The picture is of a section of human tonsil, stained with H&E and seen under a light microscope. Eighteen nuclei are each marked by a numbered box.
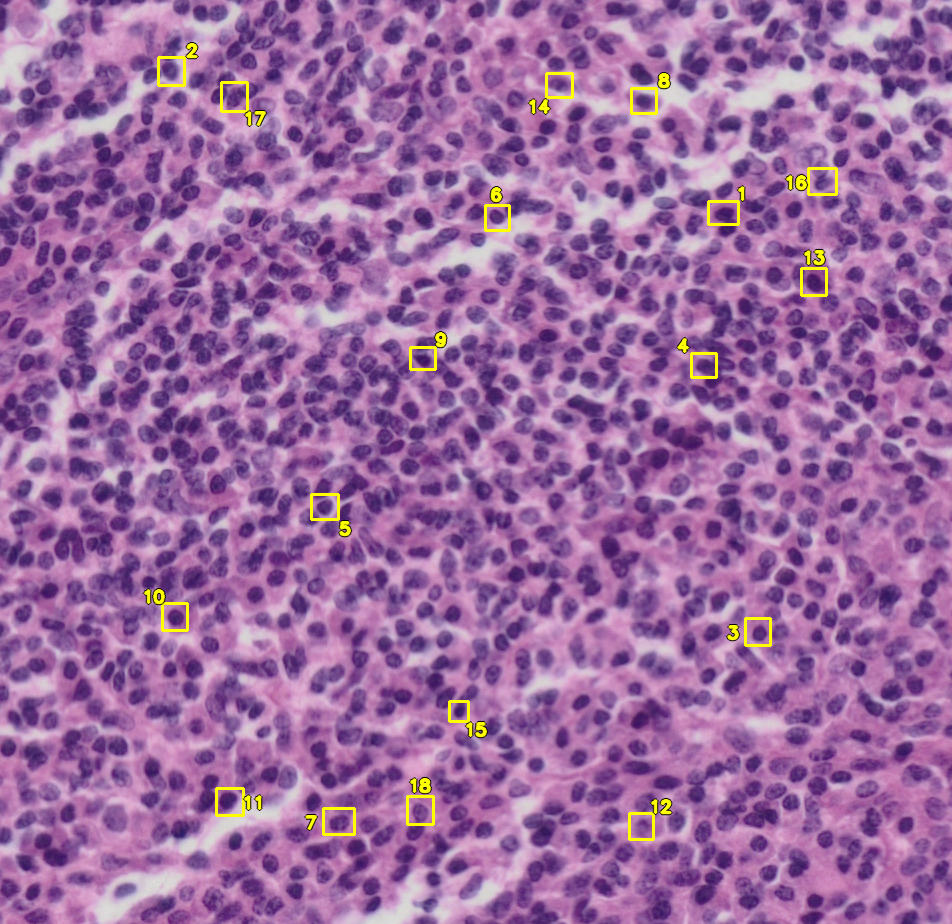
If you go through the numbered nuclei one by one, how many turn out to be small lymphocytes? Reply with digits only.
8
